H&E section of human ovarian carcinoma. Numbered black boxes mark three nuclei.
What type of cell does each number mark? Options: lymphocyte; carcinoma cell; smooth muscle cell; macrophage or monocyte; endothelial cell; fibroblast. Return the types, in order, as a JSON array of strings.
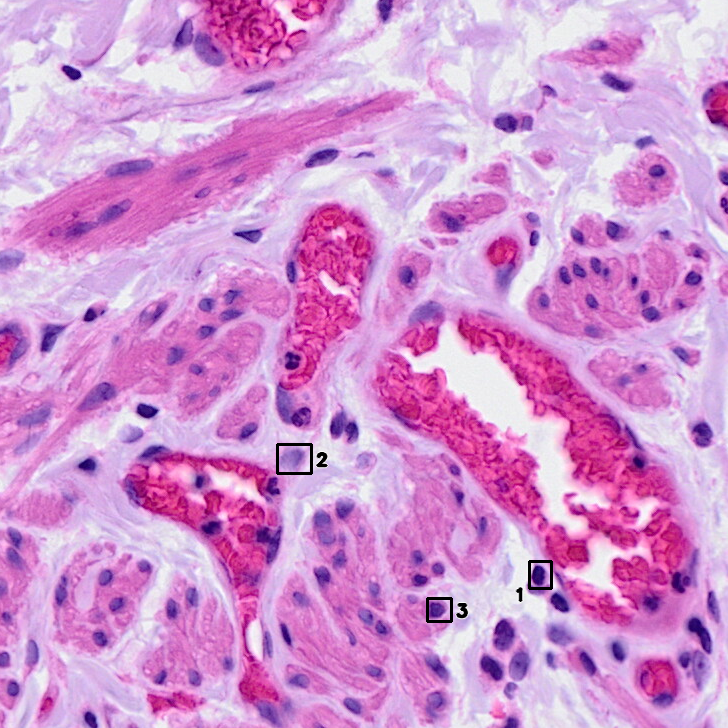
["lymphocyte", "fibroblast", "smooth muscle cell"]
